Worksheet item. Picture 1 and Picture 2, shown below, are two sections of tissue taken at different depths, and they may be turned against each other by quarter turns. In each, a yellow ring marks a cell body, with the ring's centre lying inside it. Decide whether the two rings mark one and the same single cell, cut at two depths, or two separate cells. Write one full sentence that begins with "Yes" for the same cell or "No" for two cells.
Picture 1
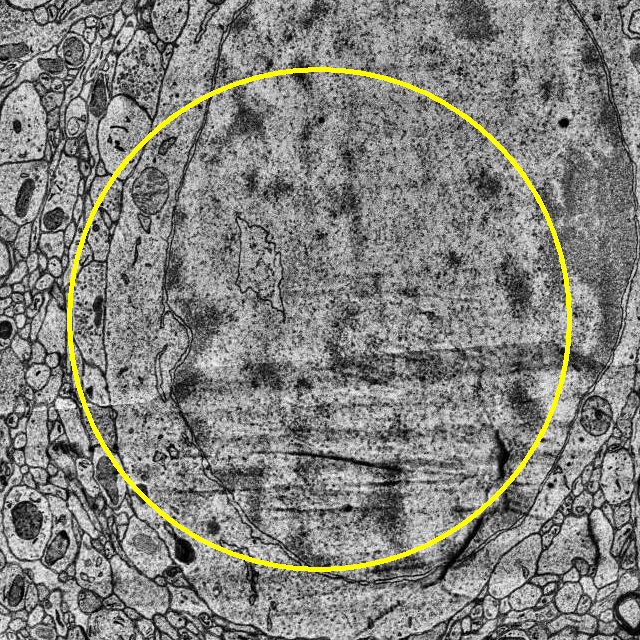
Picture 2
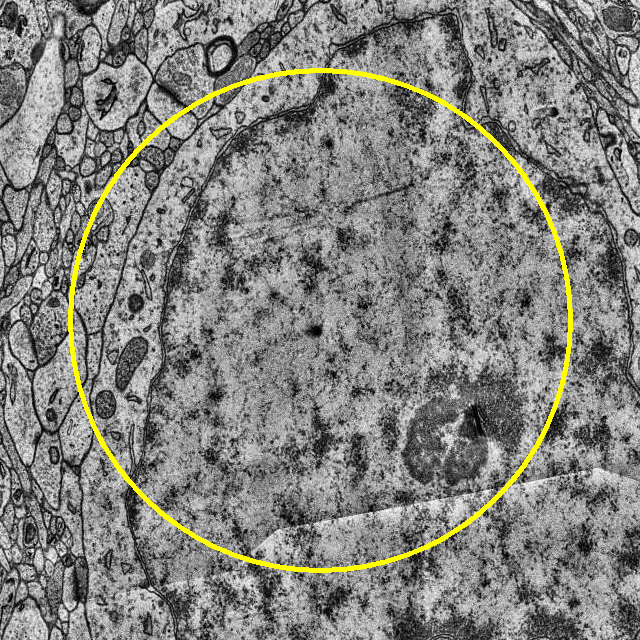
No, the two rings indicate two different cells, not one.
